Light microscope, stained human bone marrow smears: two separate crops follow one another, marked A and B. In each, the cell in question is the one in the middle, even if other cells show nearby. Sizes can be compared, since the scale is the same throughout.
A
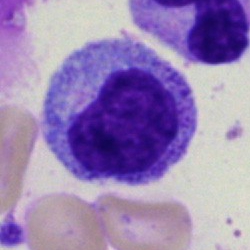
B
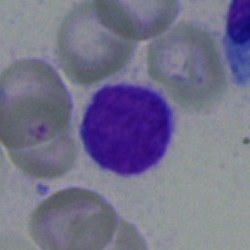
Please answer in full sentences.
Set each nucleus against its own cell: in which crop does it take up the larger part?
It is the cell in crop B that is filled more by its nucleus.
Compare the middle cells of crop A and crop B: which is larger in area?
Larger is the cell in crop A, at roughly 2 times the area of the other.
